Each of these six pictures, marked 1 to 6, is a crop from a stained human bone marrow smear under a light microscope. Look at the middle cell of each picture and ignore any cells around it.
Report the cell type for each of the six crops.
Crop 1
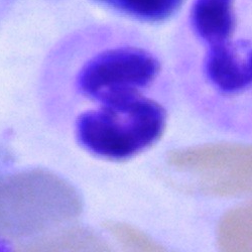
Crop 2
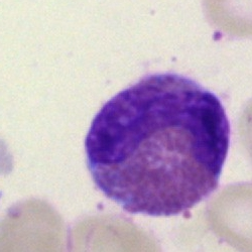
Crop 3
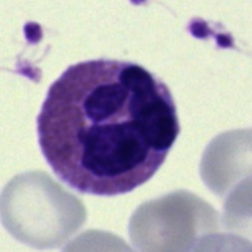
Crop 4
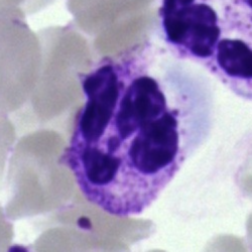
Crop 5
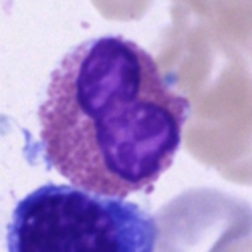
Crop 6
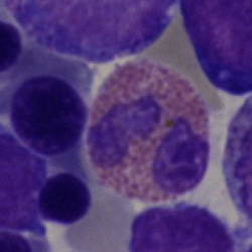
1: segmented neutrophil
2: eosinophil
3: eosinophil
4: segmented neutrophil
5: eosinophil
6: eosinophil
